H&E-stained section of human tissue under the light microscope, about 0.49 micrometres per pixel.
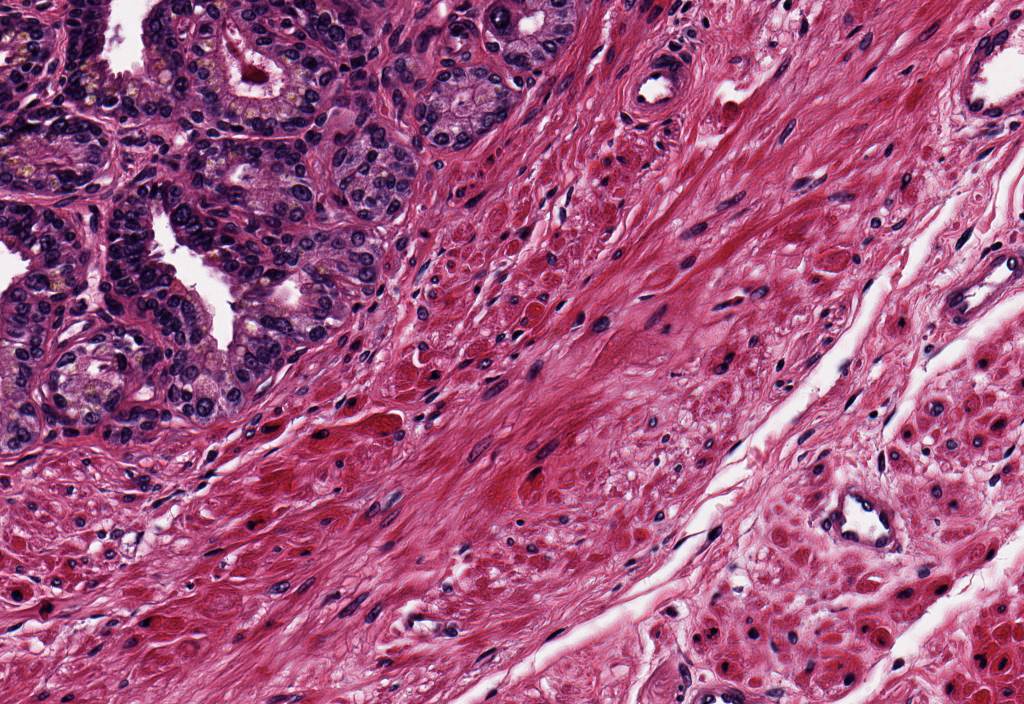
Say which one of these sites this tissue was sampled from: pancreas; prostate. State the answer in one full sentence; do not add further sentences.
This specimen was obtained from the prostate.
